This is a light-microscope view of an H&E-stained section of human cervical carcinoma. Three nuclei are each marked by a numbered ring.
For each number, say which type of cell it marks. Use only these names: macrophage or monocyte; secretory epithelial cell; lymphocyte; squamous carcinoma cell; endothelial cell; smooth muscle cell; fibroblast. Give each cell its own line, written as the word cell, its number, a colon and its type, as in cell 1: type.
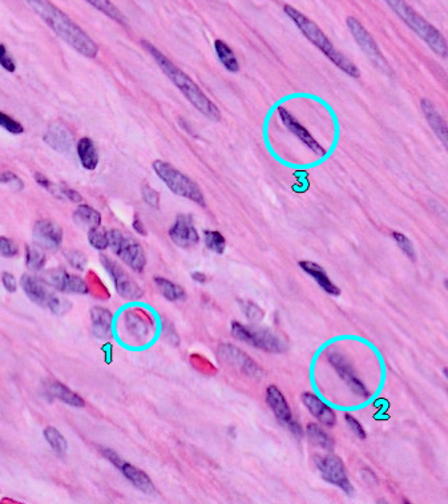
cell 1: endothelial cell
cell 2: fibroblast
cell 3: fibroblast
